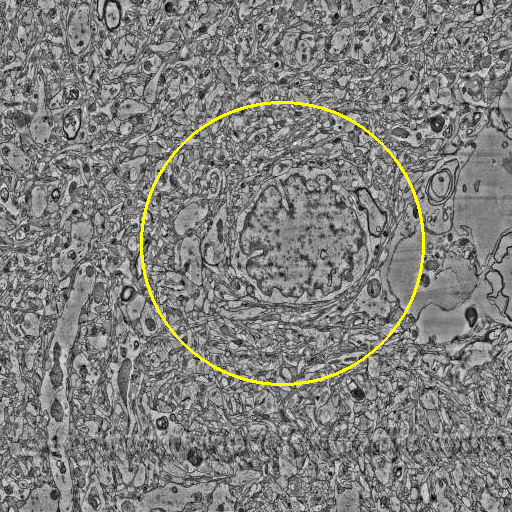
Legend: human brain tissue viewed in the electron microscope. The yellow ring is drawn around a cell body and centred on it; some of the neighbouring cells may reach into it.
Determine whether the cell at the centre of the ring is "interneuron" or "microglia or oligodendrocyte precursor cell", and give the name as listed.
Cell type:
interneuron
